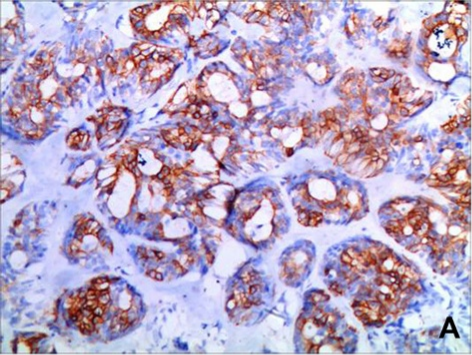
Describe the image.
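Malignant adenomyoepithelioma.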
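This is a tumour made of rounded cell nests set in pale, loosely fibrous stroma. Within the nests, many cells show brown staining outlining their membranes and cytoplasm, often around small clear lumens. The stromal cells and some cells at the edges of the nests stay blue. The brown-stained cells lining the gland-like spaces are the epithelial cells of the tumour.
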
